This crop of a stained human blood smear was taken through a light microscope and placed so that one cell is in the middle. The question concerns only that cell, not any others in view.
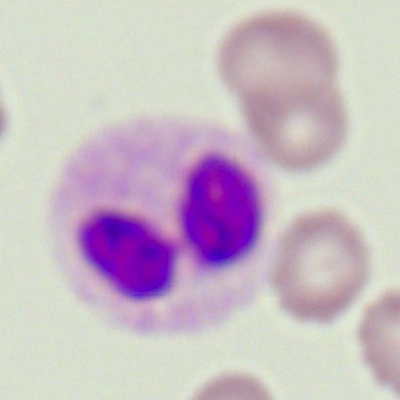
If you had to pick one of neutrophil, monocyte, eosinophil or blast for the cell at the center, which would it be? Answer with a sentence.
Present in the middle of the crop is a neutrophil.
